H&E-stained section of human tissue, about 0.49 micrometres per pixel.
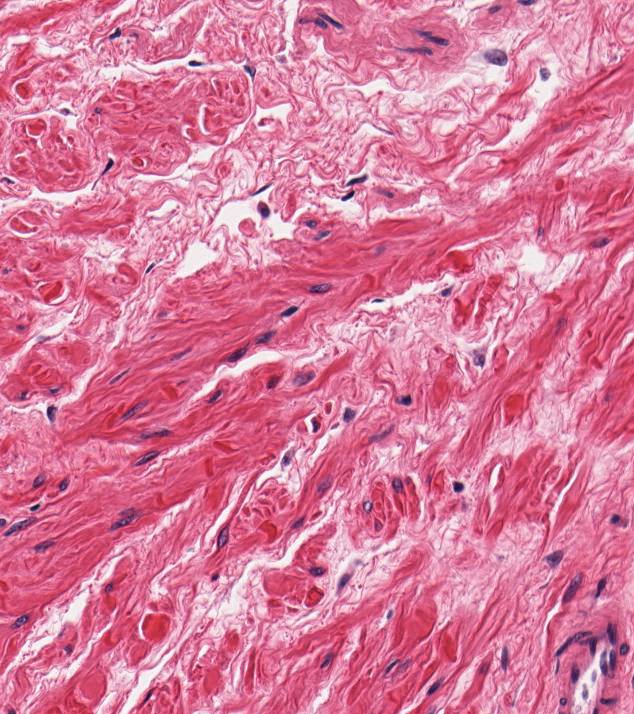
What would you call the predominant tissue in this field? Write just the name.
fibromuscular stroma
